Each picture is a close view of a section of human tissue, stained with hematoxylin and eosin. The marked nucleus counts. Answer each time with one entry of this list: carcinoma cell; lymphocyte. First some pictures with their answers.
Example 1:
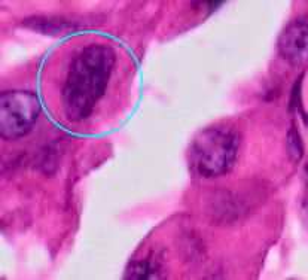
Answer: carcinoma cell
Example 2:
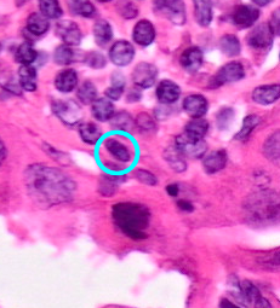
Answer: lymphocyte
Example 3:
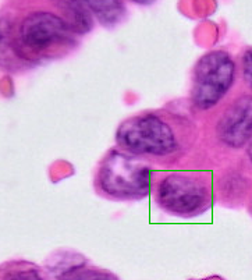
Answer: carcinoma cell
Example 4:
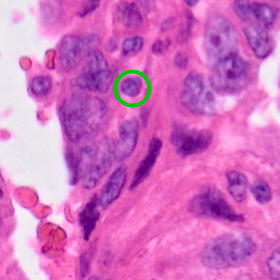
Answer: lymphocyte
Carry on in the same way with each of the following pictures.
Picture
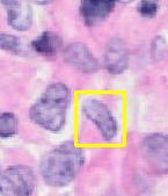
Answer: carcinoma cell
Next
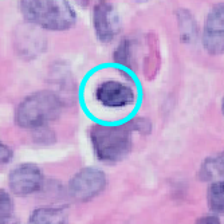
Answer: lymphocyte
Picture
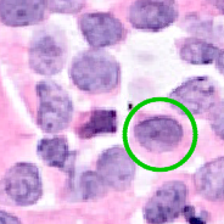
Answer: carcinoma cell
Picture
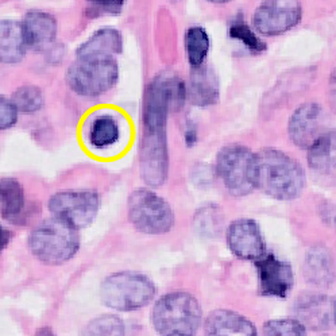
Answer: lymphocyte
